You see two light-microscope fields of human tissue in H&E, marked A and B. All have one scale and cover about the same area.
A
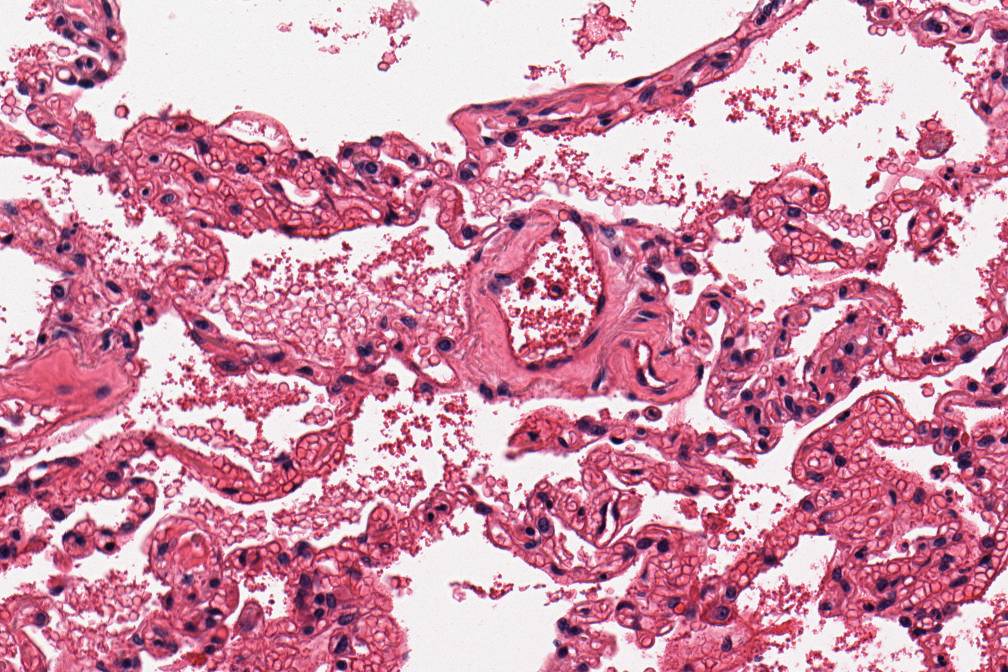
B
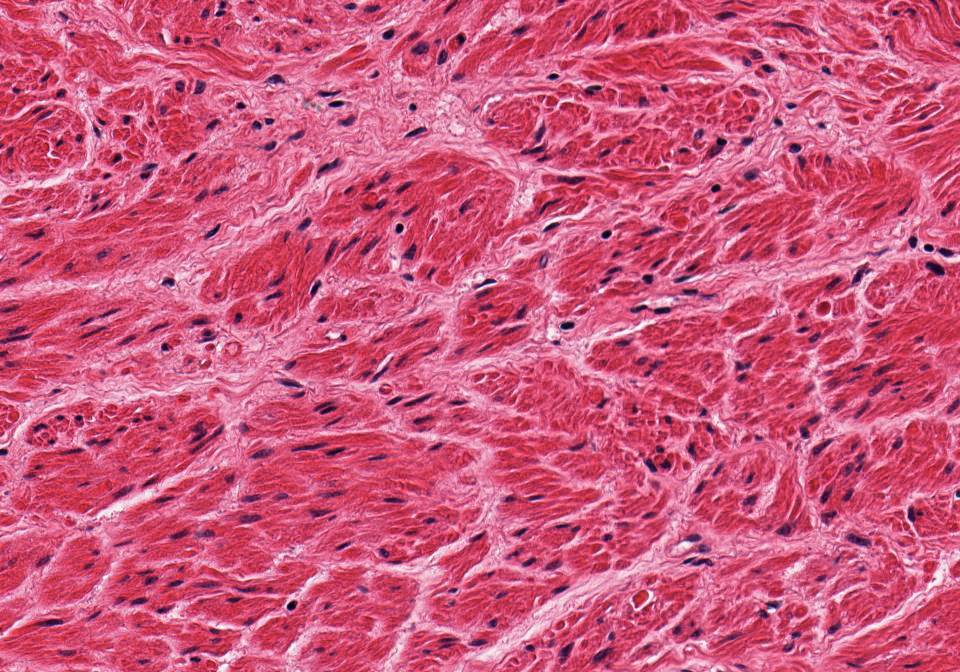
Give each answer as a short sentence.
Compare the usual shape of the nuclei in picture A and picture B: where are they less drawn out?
On the whole the nuclei of picture A are rounder than those of picture B.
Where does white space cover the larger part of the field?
More of picture A is empty and white.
